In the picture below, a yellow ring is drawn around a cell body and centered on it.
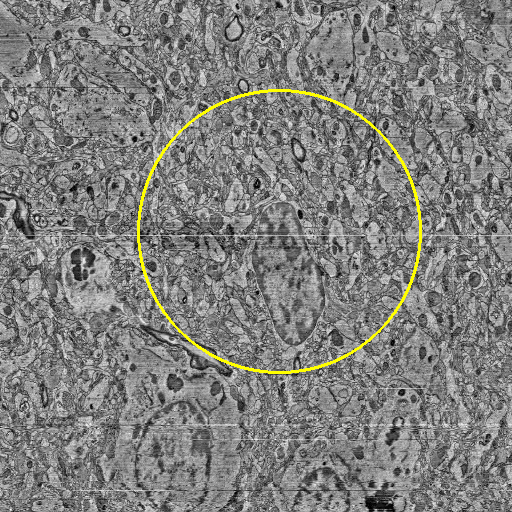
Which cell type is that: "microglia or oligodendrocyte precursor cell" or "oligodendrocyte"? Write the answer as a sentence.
The cell centered in the ring is a microglial cell or oligodendrocyte precursor cell.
